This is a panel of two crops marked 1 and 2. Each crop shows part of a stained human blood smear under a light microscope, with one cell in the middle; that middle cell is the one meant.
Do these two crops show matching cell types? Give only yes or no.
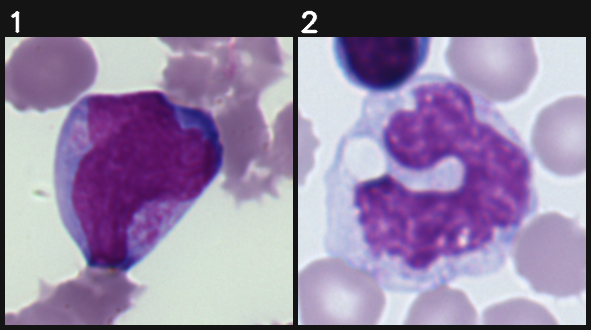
no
